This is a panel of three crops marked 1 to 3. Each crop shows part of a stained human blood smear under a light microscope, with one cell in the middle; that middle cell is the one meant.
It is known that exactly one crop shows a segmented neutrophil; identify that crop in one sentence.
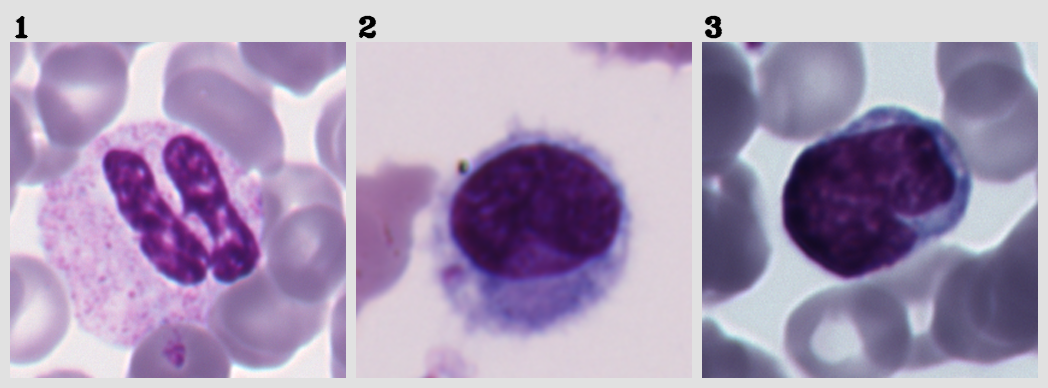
Crop 1 is the right one; it is the crop showing a segmented neutrophil.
